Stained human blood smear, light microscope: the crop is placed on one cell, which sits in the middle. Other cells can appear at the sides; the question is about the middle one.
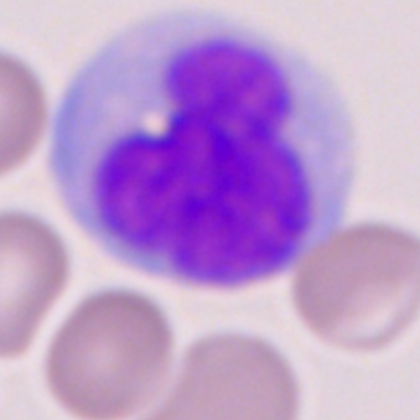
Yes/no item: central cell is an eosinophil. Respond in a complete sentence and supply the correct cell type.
No, it isn't an eosinophil; what sits in the middle is a monocyte.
